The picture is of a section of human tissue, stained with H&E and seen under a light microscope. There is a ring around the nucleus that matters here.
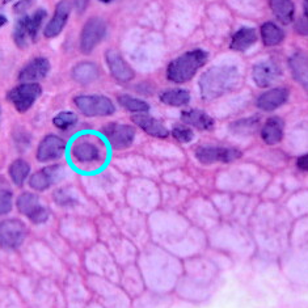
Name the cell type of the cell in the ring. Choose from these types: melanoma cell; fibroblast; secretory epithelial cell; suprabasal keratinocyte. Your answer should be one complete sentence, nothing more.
Microscopically, the cell in the ring is categorized as a secretory epithelial cell.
